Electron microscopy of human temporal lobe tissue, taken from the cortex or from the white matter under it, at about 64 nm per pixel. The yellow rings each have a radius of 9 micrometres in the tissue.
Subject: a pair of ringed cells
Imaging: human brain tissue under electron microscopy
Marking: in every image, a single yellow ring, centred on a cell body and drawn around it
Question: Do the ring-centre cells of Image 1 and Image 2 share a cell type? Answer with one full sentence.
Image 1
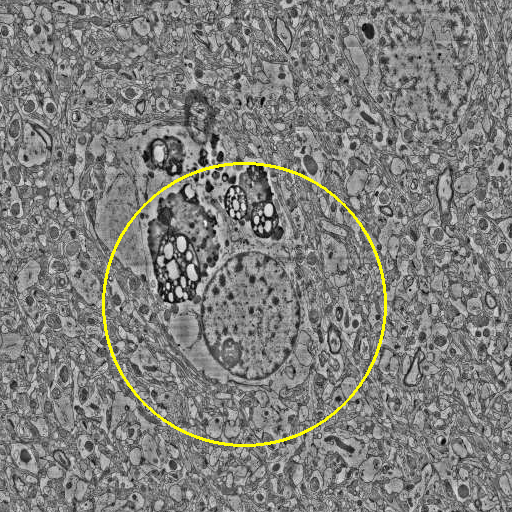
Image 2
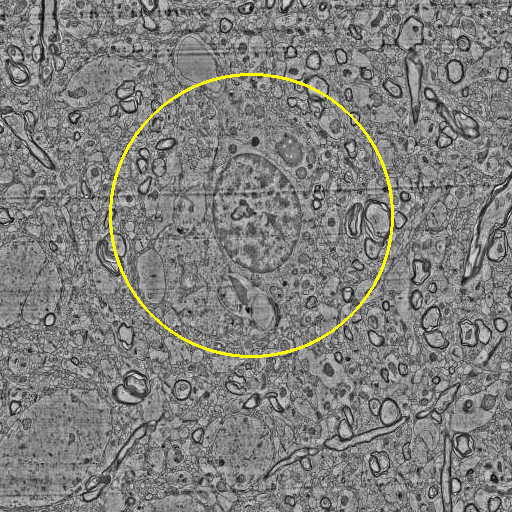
No, at the ring centres in the images sit cells of two separate types.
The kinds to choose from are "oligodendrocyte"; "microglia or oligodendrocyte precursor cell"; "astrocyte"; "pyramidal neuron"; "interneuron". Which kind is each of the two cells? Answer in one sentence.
Of the two, the first cell is an astrocyte and the second cell is an oligodendrocyte.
